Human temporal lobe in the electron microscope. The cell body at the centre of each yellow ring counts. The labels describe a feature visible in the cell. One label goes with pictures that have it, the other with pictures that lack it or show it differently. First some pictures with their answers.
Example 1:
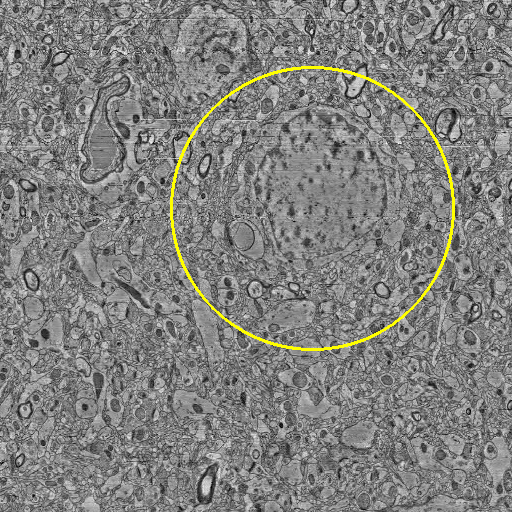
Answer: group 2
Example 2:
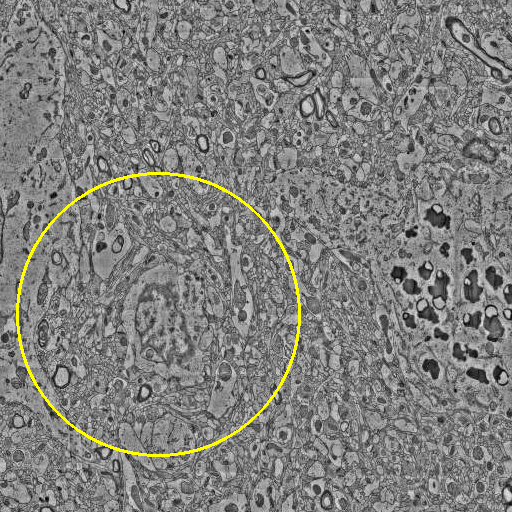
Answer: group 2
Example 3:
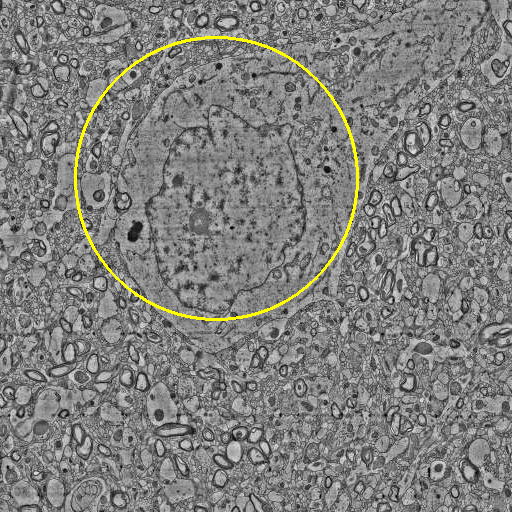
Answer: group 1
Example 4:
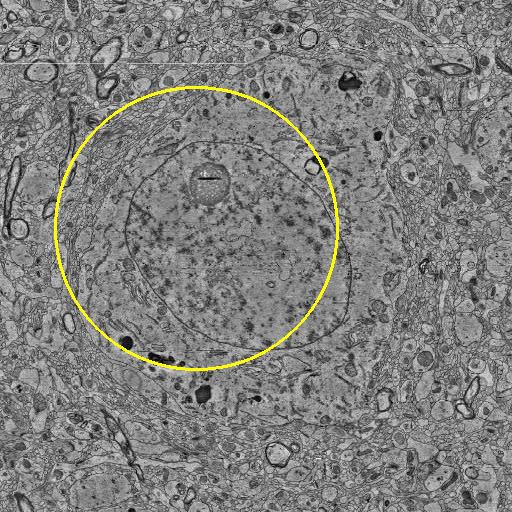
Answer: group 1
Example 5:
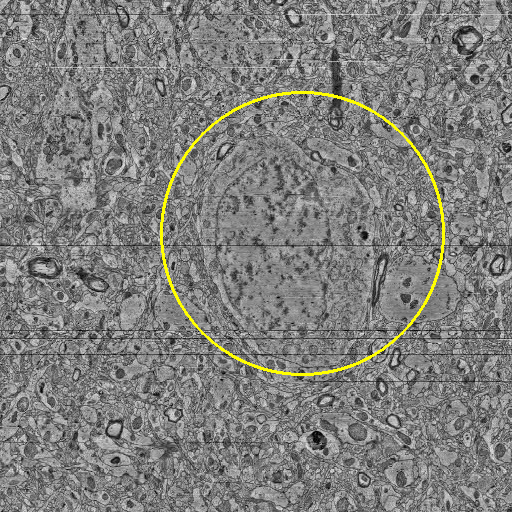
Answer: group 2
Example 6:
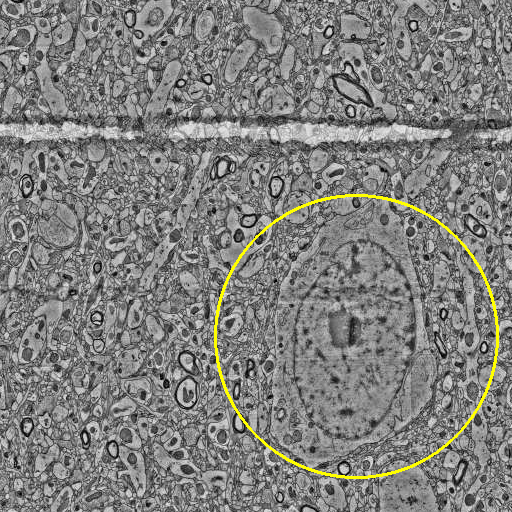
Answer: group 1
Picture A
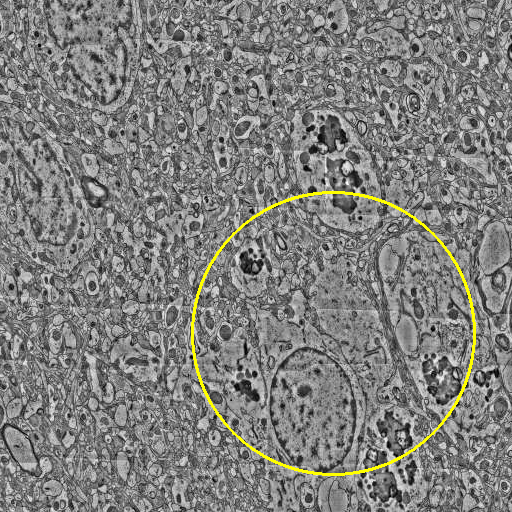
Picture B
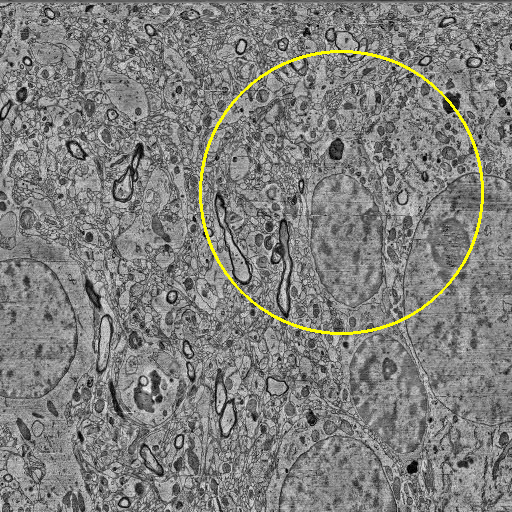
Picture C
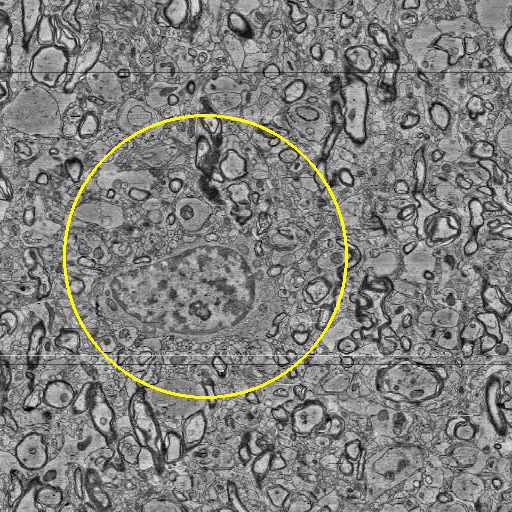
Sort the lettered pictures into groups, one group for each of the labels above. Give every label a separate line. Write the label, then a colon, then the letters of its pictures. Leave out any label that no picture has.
group 2: B
group 1: A, C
